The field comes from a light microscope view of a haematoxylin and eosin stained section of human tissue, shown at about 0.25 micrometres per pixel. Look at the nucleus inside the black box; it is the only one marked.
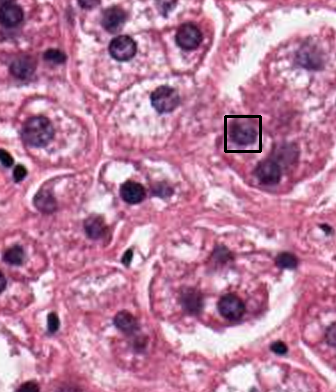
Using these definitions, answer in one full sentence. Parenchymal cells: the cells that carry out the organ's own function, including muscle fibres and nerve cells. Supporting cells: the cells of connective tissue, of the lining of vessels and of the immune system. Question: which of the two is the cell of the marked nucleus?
In this section the marked nucleus belongs to a parenchymal cell, namely an adrenal cortical cell.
